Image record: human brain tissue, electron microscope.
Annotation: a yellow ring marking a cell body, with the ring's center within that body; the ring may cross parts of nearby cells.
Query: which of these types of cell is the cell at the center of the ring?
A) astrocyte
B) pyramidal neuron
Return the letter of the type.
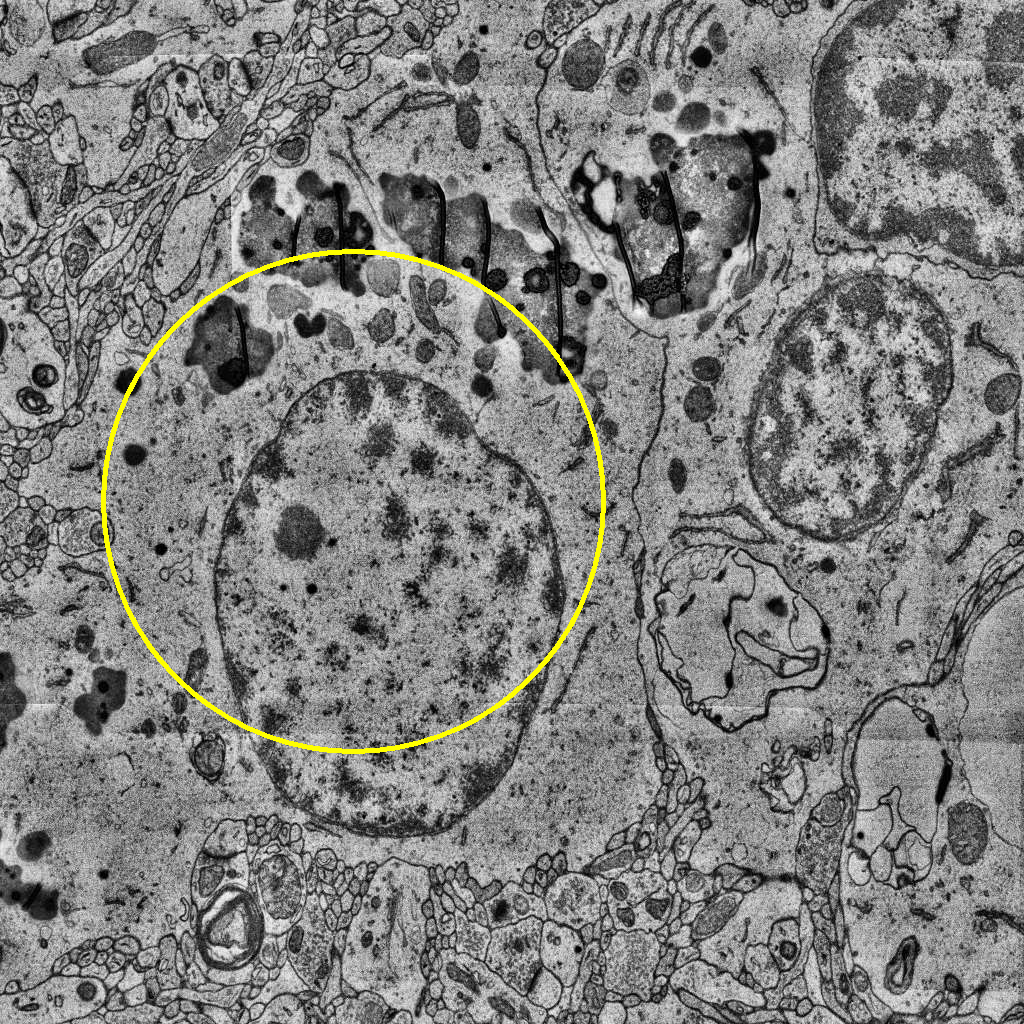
A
